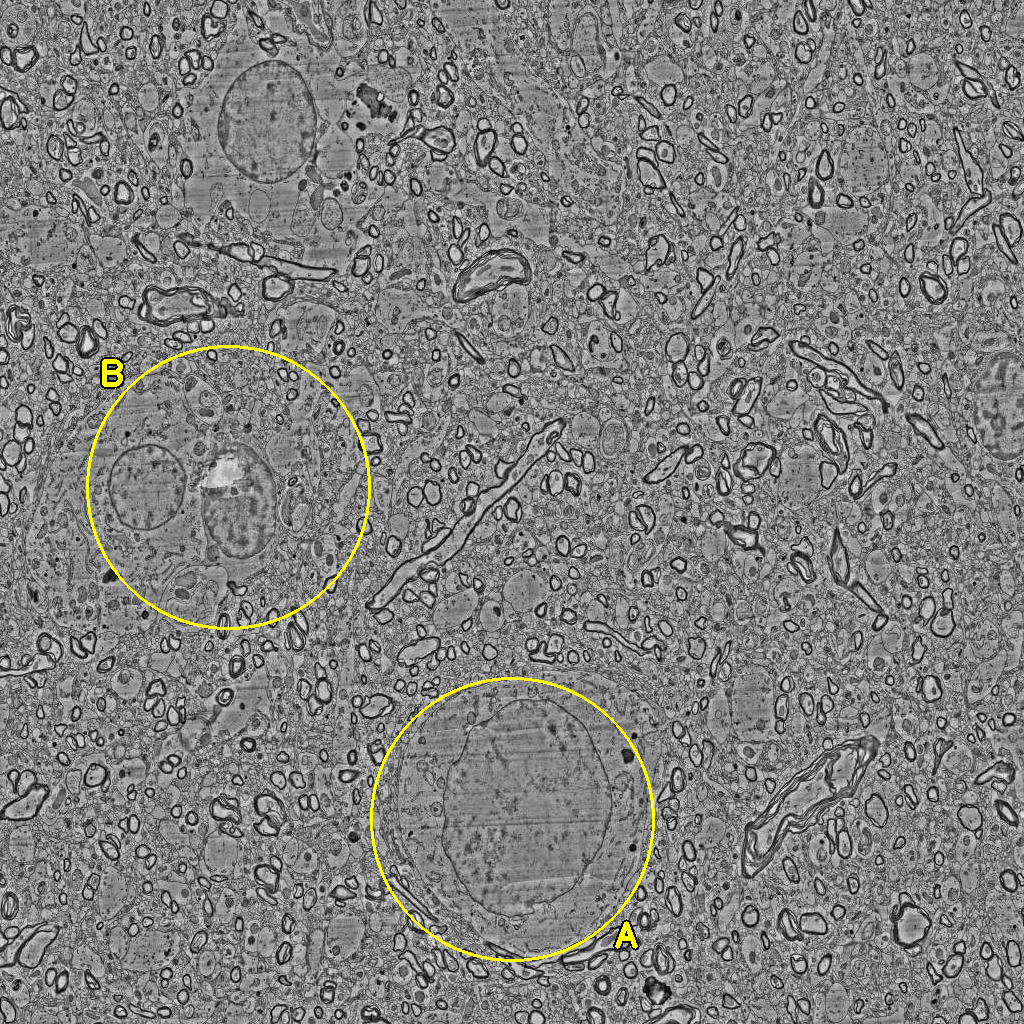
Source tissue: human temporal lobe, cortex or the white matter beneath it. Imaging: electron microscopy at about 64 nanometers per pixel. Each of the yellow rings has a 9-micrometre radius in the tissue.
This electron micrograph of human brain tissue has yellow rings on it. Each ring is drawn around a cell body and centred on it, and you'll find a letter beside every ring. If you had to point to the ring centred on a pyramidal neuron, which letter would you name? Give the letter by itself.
A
